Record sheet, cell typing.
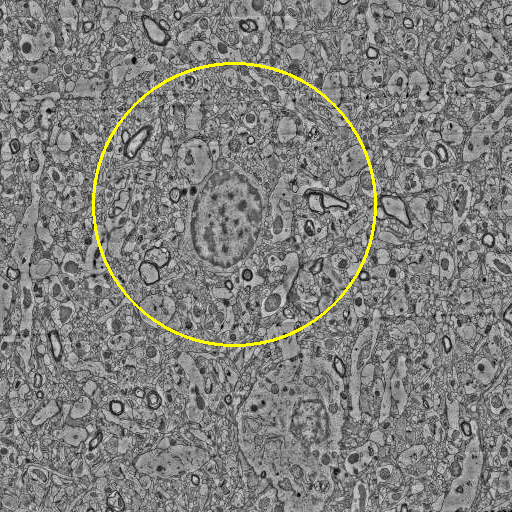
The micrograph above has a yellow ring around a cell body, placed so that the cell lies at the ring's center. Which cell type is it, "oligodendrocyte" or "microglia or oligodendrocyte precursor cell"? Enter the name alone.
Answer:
oligodendrocyte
